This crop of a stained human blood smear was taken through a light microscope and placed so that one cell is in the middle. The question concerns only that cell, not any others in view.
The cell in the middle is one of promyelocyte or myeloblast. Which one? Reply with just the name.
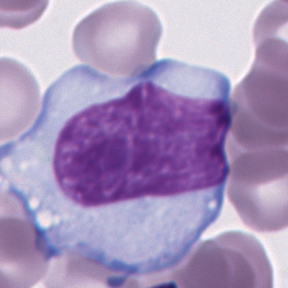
myeloblast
